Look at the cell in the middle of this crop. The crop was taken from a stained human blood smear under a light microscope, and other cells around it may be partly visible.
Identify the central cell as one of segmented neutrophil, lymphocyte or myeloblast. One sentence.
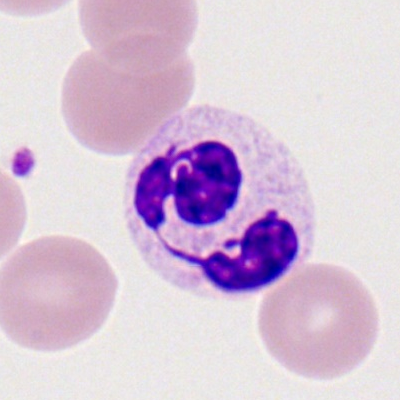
The crop's centre is taken up by a segmented neutrophil.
